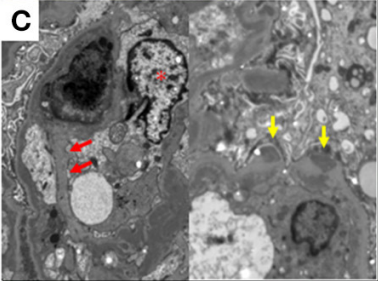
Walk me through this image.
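Electron micrographs of a kidney glomerulus showing capillary loops with dark, homogeneous electron-dense deposits in their walls. On the left, a large cell with an irregular nucleus and clumped chromatin lies within a capillary loop, and a thin new membrane layer is seen within the thickened capillary wall beside deposit material. Overall the capillary walls are irregular and thickened.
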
